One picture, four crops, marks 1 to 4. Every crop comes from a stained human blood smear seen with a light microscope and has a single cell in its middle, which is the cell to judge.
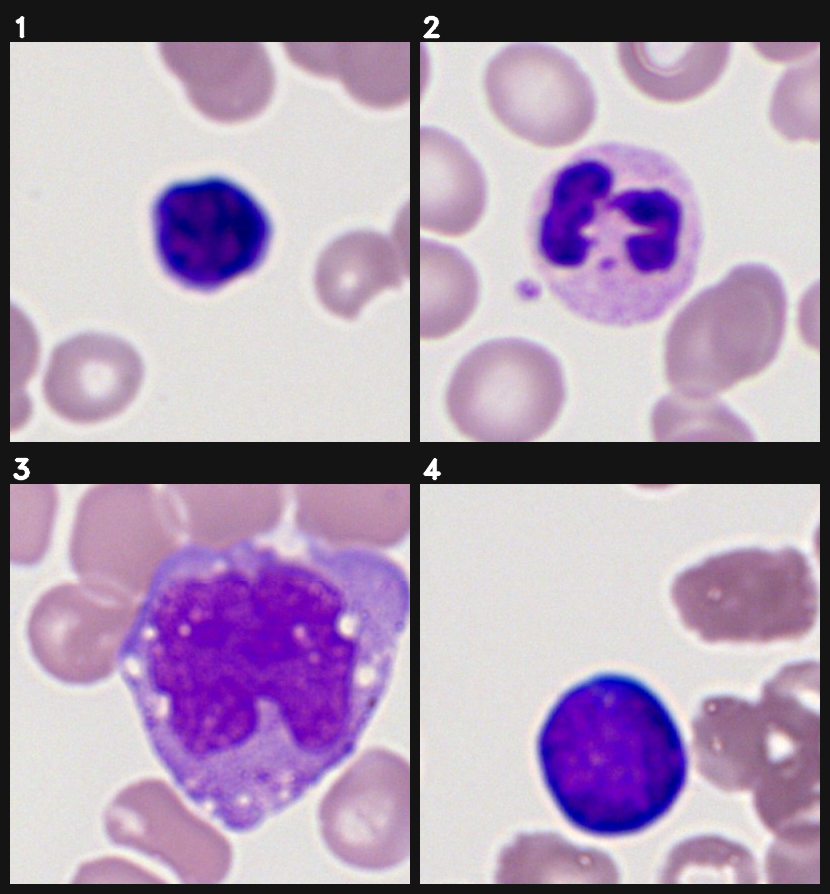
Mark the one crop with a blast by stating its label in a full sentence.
The crop marked 4 is the one that shows a blast.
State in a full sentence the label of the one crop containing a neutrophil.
In this set, crop 2 is the one showing a neutrophil.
